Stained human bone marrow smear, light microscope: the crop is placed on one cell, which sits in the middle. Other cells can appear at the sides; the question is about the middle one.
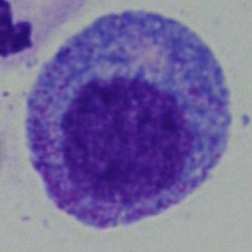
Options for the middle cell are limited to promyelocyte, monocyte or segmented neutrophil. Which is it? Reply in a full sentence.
At the center of the crop sits a promyelocyte.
